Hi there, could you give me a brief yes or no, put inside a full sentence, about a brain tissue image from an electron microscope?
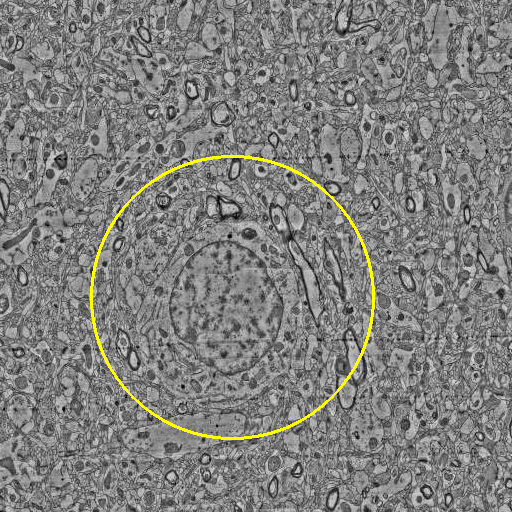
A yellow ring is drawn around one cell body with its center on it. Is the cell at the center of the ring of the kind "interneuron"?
Yes, the cell found at the center of the yellow ring is of that kind.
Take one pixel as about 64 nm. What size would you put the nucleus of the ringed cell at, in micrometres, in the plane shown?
Approximately 9 by 7 micrometers in this plane.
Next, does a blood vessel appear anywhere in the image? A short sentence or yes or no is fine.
No, no blood vessel can be seen.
